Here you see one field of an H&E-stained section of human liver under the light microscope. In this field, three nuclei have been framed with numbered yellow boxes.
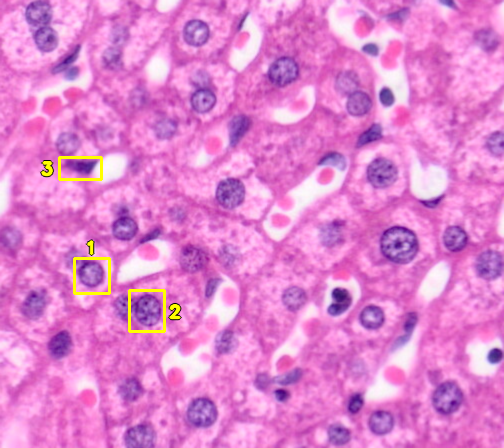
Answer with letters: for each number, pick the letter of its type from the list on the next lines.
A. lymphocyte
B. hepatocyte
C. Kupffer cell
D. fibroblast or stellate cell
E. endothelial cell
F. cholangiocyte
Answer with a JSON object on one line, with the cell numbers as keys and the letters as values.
{"1": "B", "2": "B", "3": "D"}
